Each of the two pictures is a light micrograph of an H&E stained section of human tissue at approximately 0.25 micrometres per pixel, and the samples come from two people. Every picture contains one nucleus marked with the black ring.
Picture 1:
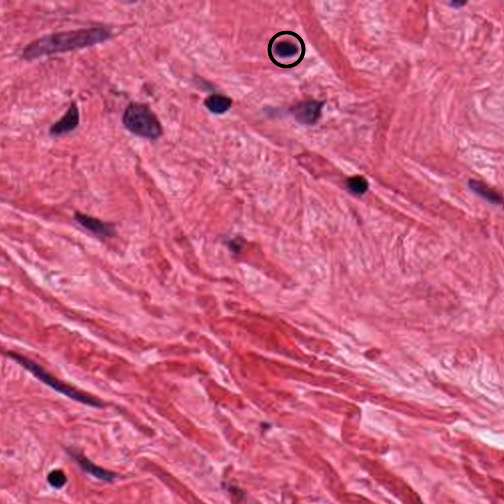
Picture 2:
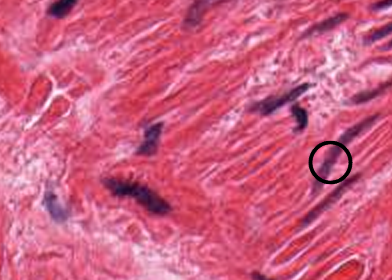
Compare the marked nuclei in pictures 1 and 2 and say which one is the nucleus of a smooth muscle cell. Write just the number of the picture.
2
